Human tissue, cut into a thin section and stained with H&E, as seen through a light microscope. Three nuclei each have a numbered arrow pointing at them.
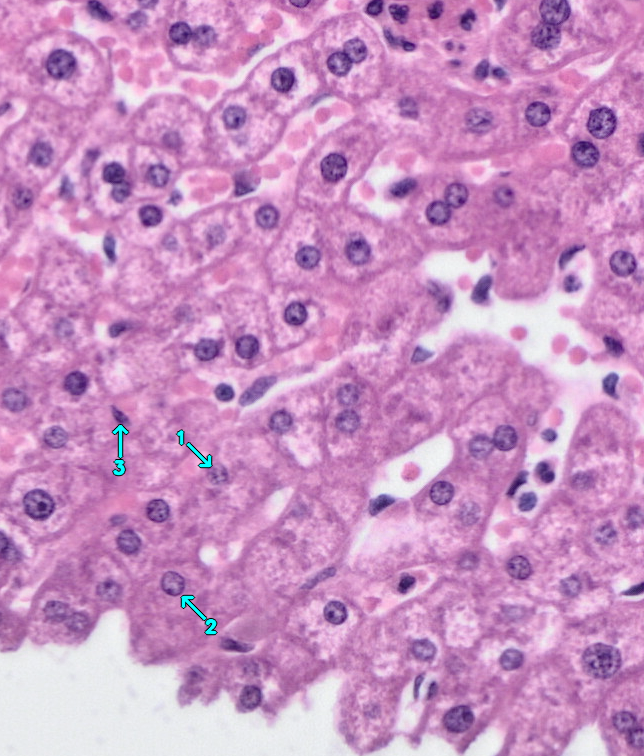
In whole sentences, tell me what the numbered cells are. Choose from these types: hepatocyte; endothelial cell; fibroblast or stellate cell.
Cells 1 and 2 are hepatocytes. Cell 3 is an endothelial cell.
